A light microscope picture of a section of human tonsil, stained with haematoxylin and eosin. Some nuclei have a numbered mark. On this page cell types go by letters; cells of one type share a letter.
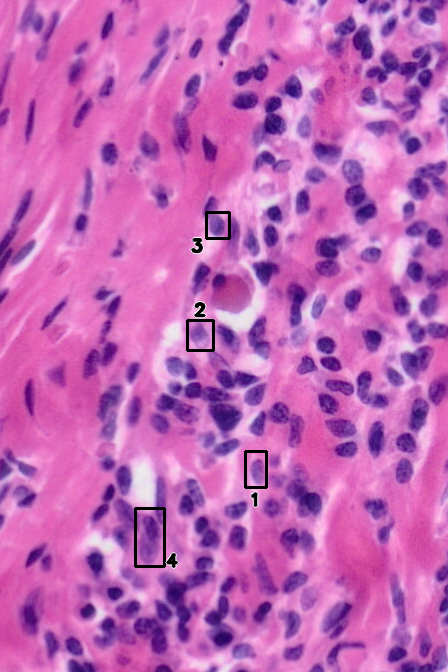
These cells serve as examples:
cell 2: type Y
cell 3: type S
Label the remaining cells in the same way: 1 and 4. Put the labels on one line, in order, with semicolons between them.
type S; type Y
